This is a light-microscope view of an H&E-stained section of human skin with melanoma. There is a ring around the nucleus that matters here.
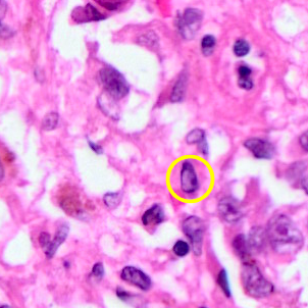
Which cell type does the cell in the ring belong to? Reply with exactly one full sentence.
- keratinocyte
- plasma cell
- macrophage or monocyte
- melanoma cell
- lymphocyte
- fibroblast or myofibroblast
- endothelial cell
The correct response here is that the cell in the ring is a macrophage or monocyte.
